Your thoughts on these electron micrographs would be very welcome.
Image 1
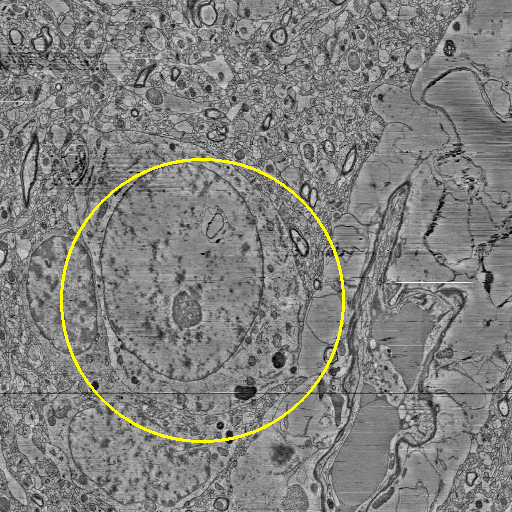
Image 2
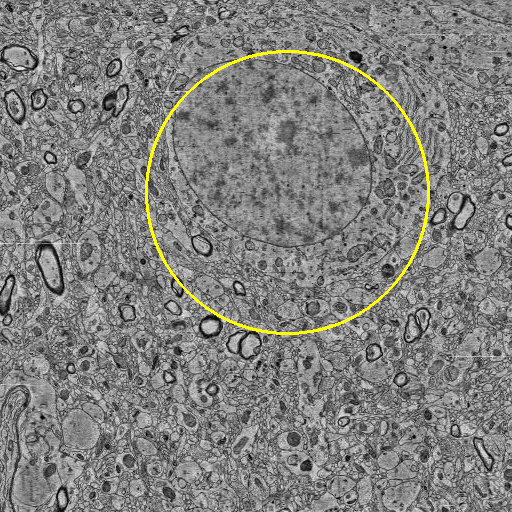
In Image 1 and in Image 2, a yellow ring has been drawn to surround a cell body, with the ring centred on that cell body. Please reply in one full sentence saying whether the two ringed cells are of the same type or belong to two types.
The ringed cells in Image 1 and Image 2 belong to two types.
